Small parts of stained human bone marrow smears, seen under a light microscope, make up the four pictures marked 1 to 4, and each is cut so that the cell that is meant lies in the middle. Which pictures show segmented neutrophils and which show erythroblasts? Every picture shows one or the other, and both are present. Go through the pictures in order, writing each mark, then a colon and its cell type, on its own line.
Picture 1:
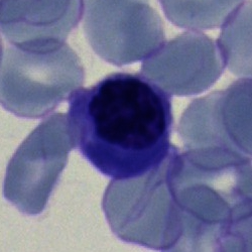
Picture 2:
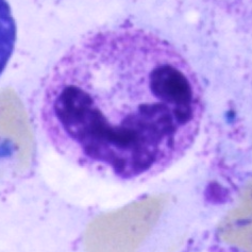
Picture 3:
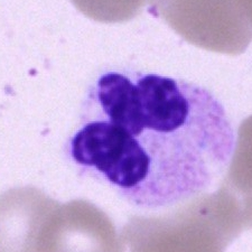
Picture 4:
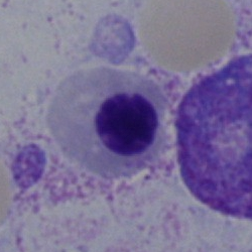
1: erythroblast
2: segmented neutrophil
3: segmented neutrophil
4: erythroblast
